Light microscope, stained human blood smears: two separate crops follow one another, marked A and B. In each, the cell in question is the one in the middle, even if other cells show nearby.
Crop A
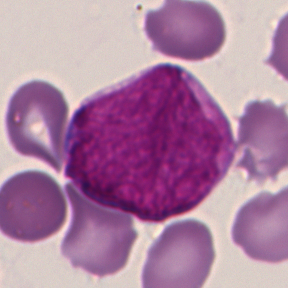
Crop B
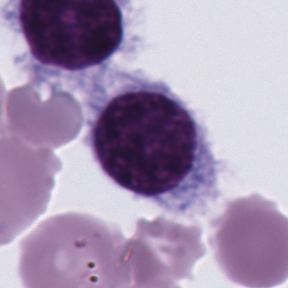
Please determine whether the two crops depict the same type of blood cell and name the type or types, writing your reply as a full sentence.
No, crop A shows a myeloblast, and crop B, by contrast, shows a hairy cell.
